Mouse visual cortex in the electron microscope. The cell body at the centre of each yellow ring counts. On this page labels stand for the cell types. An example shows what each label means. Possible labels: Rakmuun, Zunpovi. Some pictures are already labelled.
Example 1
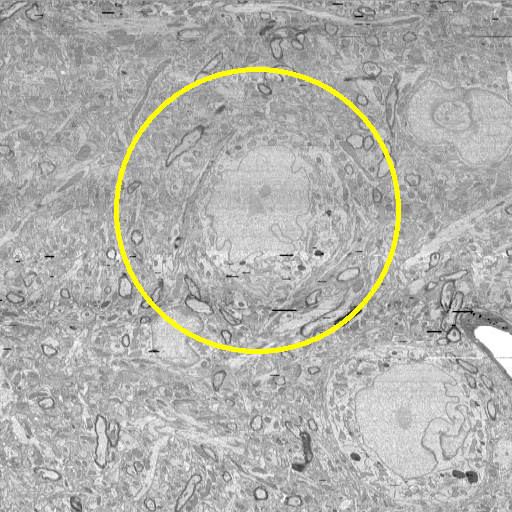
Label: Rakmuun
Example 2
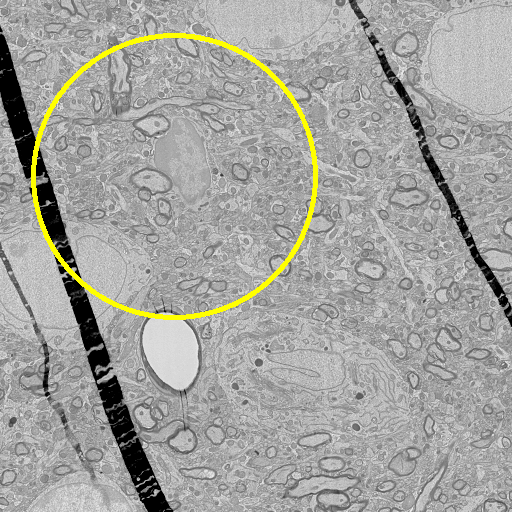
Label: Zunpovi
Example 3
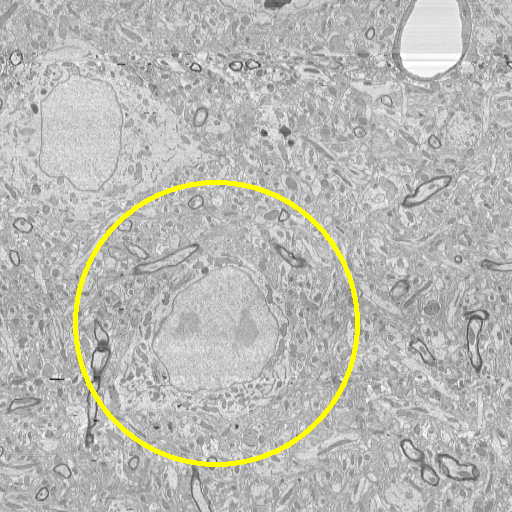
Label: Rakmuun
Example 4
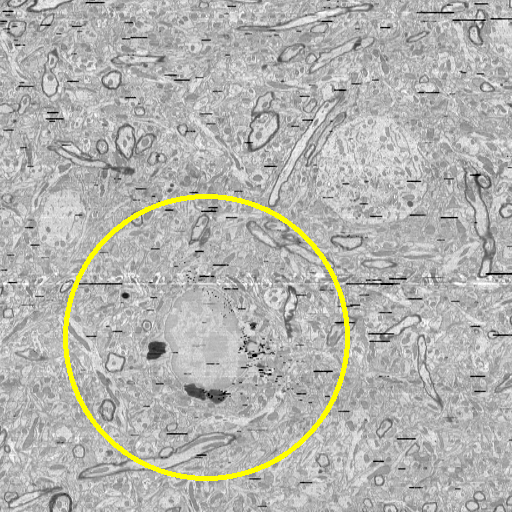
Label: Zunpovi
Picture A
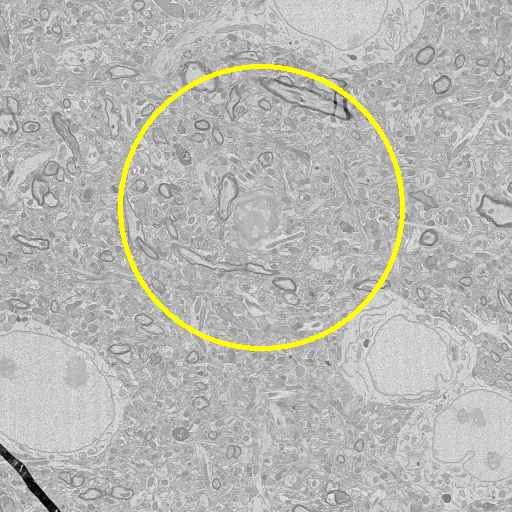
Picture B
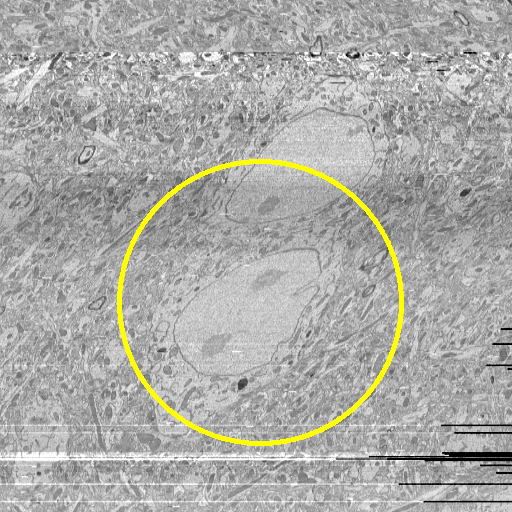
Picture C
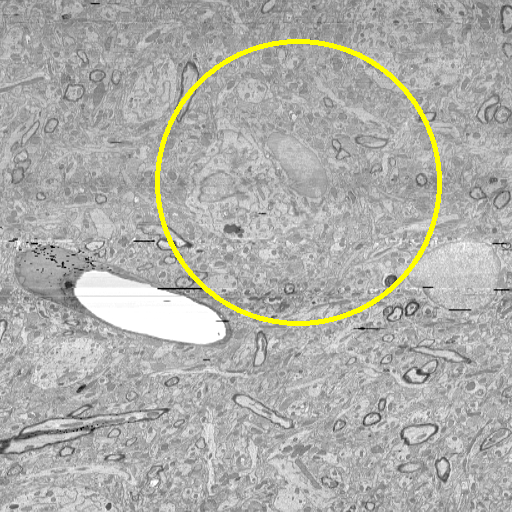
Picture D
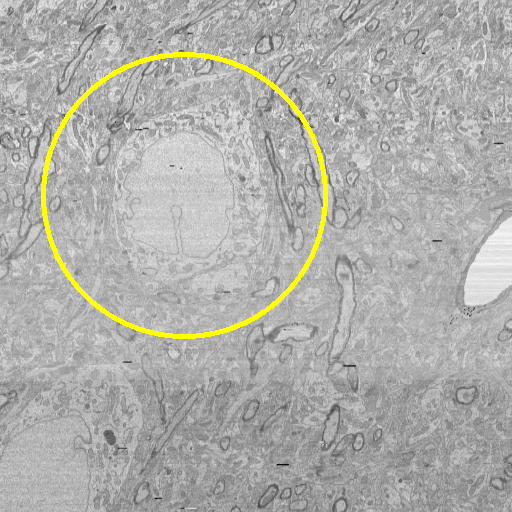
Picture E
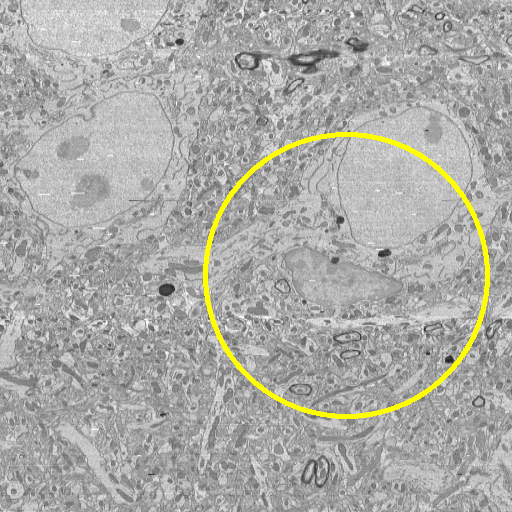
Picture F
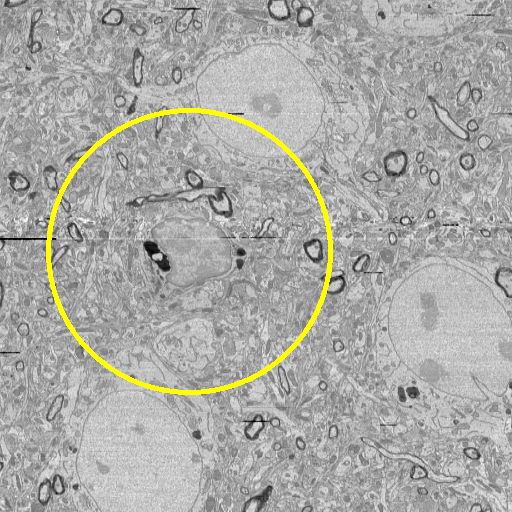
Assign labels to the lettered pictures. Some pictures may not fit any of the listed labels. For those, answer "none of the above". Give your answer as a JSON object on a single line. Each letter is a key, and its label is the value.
{"A": "Zunpovi", "B": "none of the above", "C": "Zunpovi", "D": "Rakmuun", "E": "Zunpovi", "F": "Zunpovi"}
